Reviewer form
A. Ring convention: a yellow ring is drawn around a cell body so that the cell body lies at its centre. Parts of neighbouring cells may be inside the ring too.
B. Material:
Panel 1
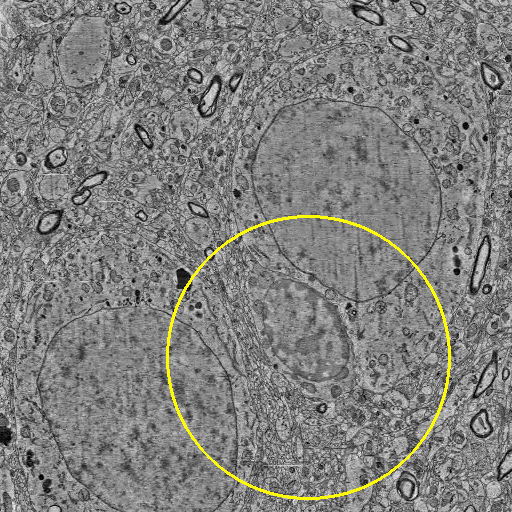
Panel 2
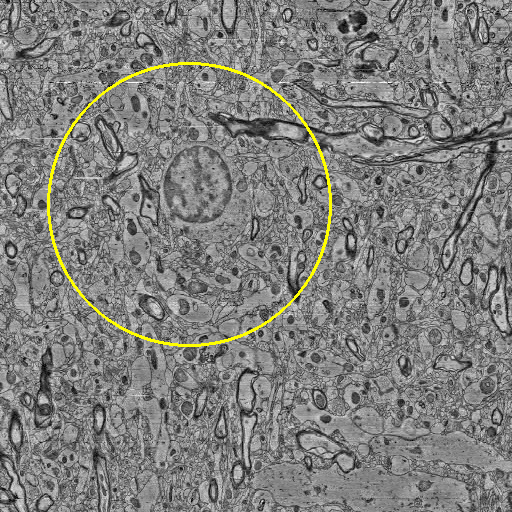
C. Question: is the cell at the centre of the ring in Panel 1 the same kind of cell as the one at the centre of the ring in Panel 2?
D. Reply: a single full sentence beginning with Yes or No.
Yes, the cells in Panel 1 and Panel 2 are the same kind of cell.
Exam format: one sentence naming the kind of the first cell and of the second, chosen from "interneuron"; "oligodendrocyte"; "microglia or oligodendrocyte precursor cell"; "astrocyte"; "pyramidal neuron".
The ring centre holds an oligodendrocyte in each of the two pictures.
